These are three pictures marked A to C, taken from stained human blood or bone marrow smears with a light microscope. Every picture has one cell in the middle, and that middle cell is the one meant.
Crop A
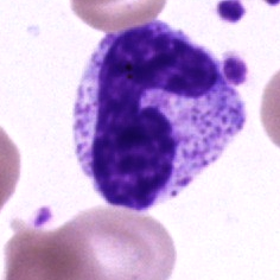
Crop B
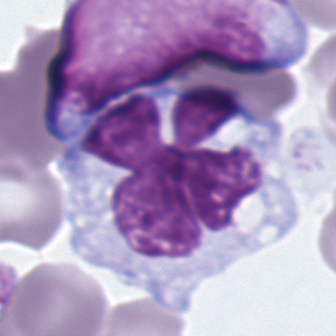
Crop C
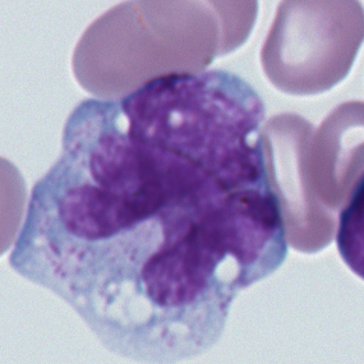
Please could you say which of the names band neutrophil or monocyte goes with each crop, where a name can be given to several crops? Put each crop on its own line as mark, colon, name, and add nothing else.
A: band neutrophil
B: monocyte
C: monocyte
